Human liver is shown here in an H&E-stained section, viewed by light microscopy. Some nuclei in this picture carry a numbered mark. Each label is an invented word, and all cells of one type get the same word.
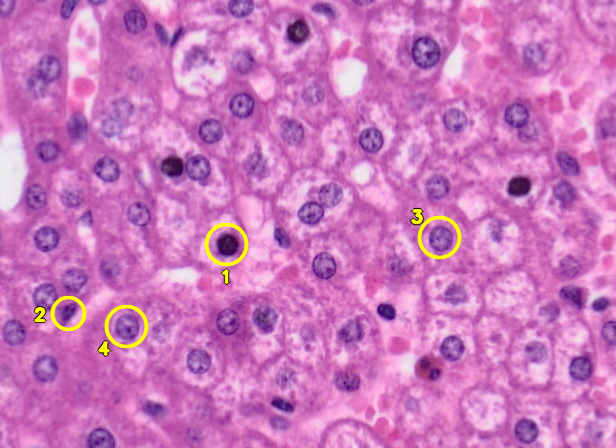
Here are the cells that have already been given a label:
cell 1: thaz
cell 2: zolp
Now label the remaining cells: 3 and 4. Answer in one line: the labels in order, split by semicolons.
thaz; thaz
